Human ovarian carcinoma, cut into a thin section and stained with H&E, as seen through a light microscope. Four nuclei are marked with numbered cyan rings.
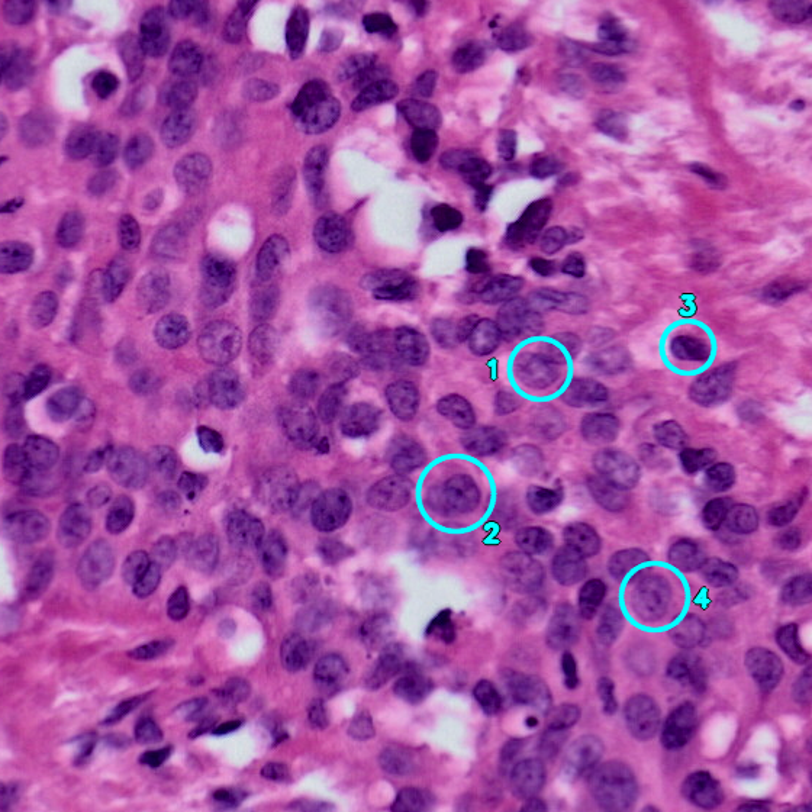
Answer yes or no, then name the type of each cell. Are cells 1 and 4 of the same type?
Yes, cells 1 and 4 both belong among the carcinoma cells.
